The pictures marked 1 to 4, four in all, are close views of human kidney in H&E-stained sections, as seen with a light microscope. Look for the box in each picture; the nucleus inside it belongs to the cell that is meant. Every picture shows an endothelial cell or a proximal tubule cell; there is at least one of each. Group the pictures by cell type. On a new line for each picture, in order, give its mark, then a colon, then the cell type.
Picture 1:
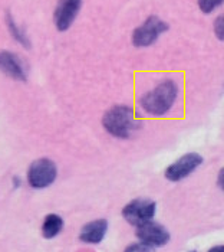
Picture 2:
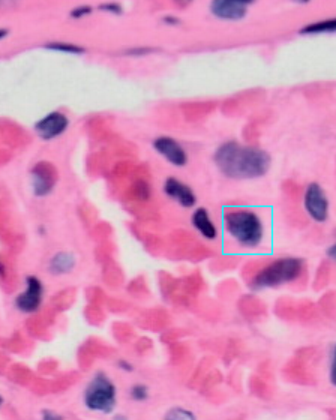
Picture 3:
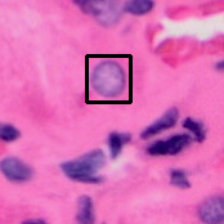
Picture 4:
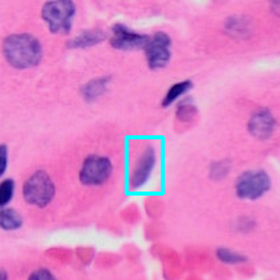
1: proximal tubule cell
2: endothelial cell
3: proximal tubule cell
4: endothelial cell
